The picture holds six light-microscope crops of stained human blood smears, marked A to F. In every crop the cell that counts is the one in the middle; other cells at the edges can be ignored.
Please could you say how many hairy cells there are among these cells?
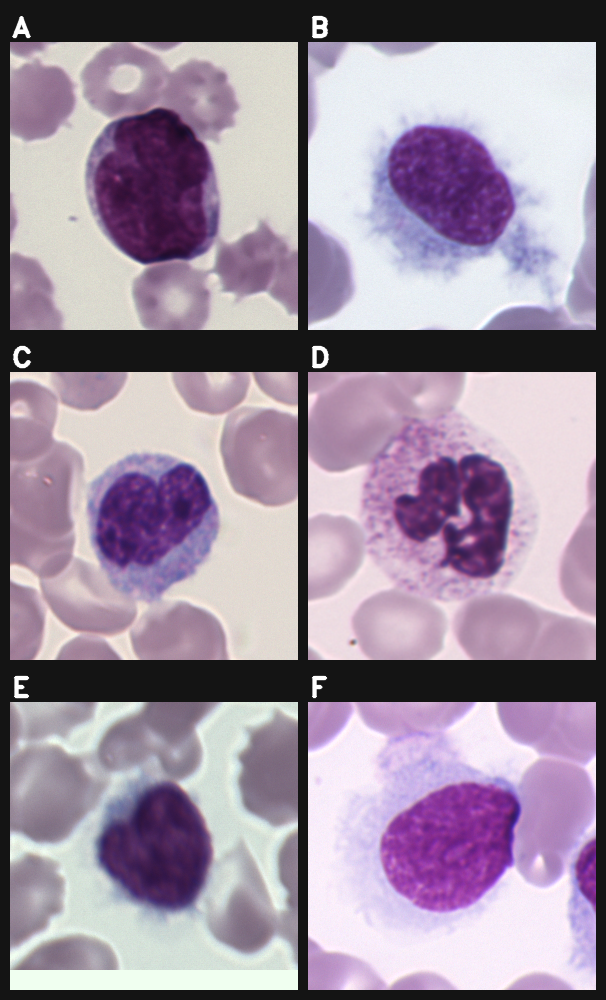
3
